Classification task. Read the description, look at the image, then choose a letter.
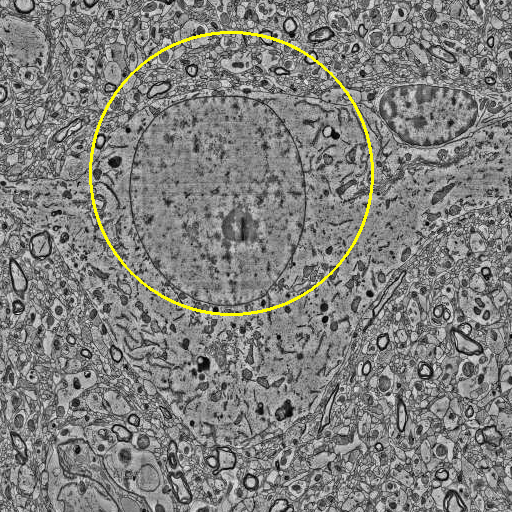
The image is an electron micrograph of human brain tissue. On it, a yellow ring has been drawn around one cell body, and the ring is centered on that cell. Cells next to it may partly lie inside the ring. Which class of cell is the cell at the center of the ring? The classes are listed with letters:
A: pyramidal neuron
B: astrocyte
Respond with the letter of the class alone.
A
